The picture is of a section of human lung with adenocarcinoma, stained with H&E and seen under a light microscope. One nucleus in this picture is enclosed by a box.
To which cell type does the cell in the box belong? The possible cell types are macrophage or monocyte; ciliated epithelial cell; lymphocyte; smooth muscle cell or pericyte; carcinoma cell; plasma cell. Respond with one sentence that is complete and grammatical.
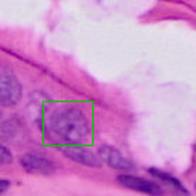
It is as a ciliated epithelial cell that the cell in the box is recorded.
